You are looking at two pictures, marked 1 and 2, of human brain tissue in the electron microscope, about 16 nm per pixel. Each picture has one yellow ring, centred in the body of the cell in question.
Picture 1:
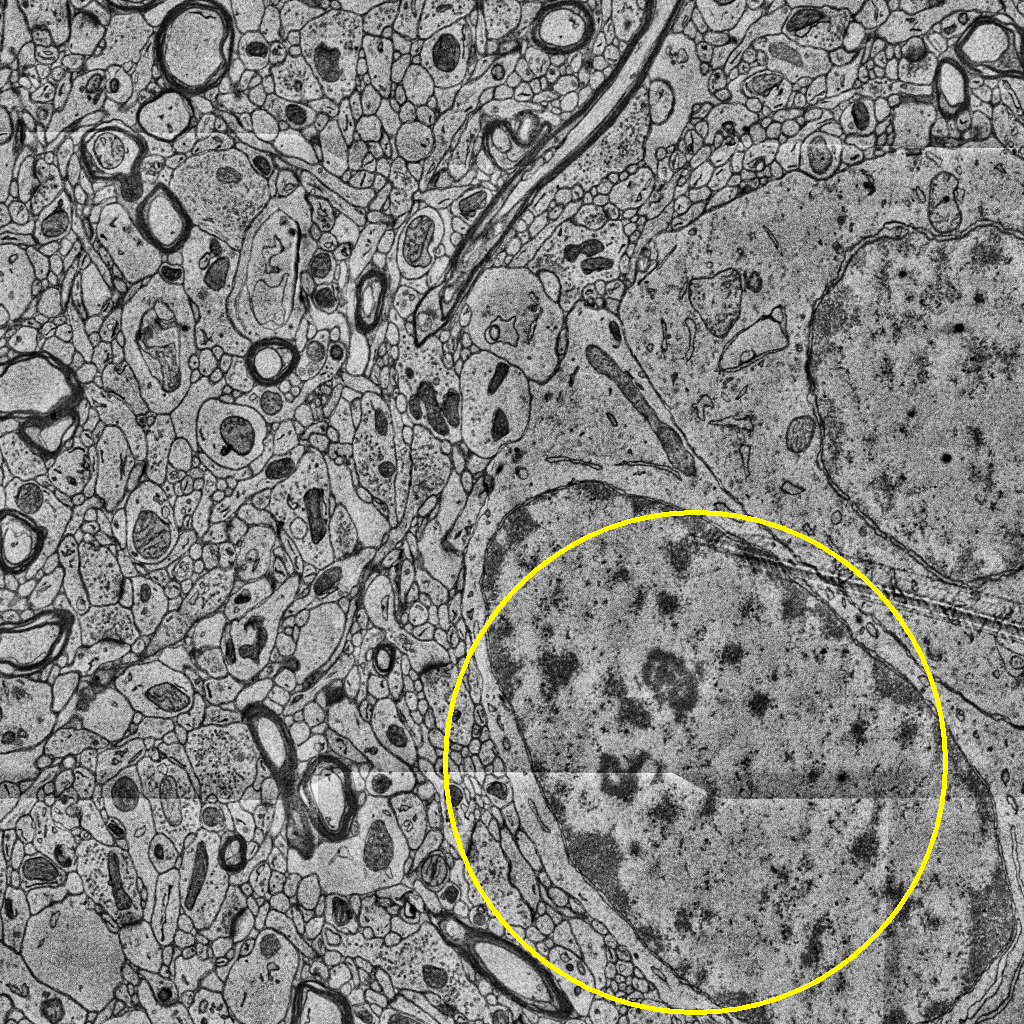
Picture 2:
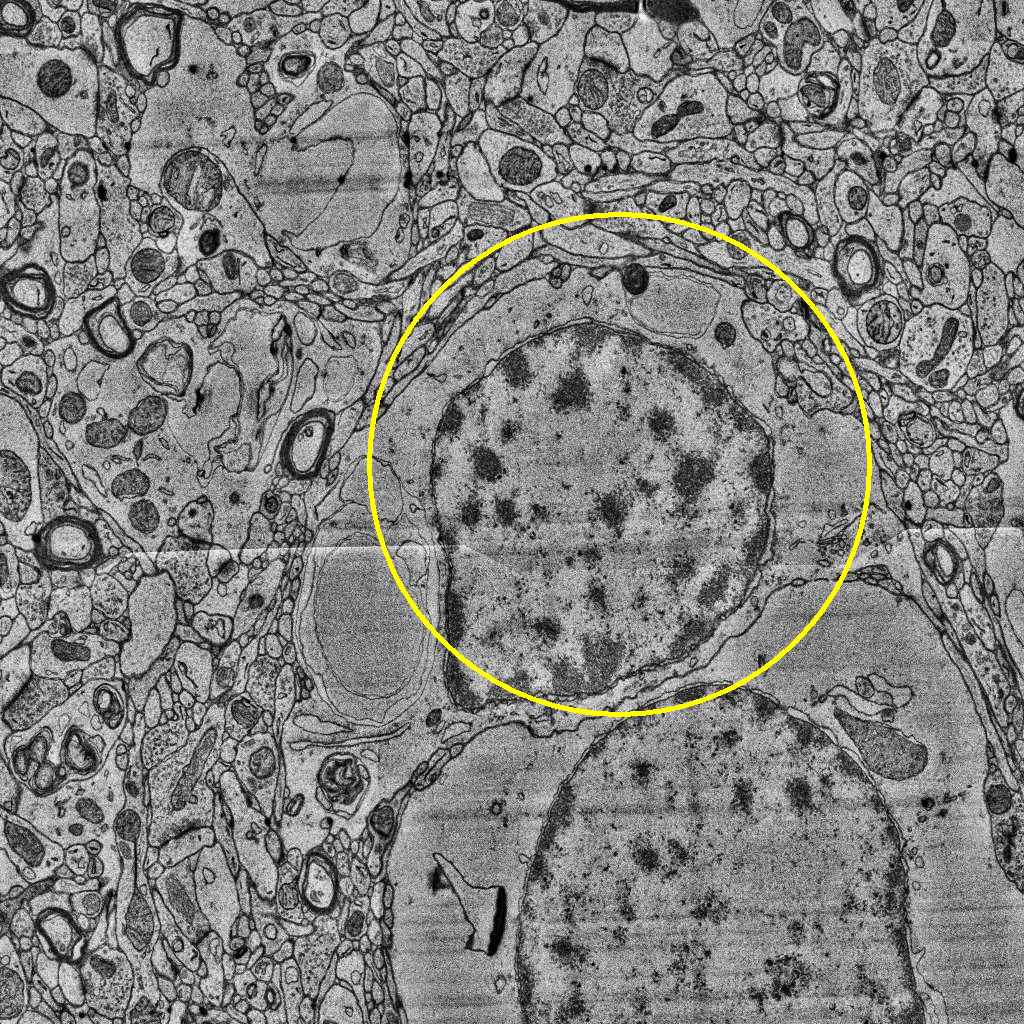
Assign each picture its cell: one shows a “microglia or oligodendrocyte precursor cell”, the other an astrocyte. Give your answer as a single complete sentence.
The cell in picture 1 is a “microglia or oligodendrocyte precursor cell”, and the one in picture 2 is an astrocyte.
